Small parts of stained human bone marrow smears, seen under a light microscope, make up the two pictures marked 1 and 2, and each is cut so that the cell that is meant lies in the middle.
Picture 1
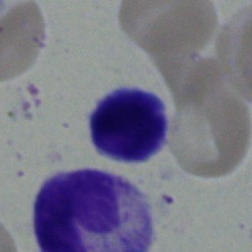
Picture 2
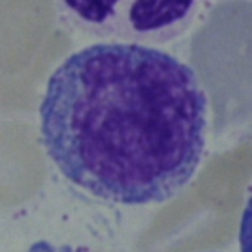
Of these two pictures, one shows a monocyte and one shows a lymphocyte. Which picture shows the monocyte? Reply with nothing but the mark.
2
